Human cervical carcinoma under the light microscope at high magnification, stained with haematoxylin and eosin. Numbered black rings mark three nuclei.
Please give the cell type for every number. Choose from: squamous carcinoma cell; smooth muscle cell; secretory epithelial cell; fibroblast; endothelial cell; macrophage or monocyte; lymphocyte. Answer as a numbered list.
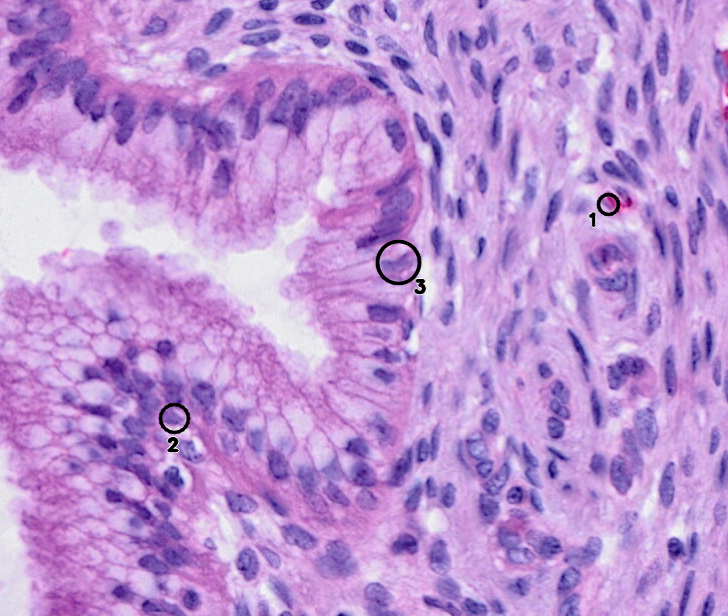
1. endothelial cell
2. secretory epithelial cell
3. secretory epithelial cell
